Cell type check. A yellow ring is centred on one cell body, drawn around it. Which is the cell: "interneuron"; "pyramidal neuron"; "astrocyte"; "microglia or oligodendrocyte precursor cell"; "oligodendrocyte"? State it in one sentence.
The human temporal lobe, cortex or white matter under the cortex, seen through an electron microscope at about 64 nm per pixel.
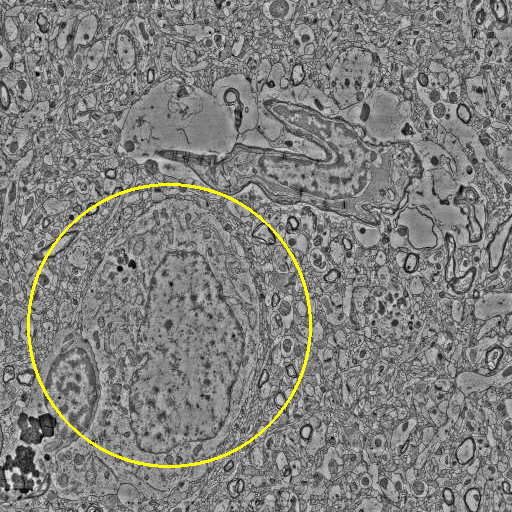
The cell body at the ring's centre belongs to an interneuron.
